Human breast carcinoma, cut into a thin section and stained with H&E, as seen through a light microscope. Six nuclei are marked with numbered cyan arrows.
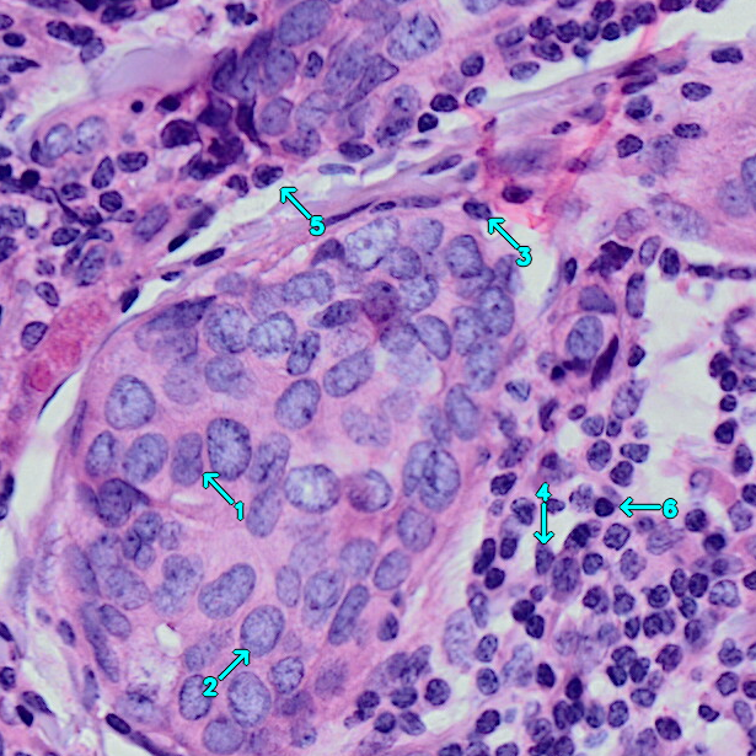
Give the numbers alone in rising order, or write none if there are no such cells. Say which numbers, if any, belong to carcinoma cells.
1, 2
